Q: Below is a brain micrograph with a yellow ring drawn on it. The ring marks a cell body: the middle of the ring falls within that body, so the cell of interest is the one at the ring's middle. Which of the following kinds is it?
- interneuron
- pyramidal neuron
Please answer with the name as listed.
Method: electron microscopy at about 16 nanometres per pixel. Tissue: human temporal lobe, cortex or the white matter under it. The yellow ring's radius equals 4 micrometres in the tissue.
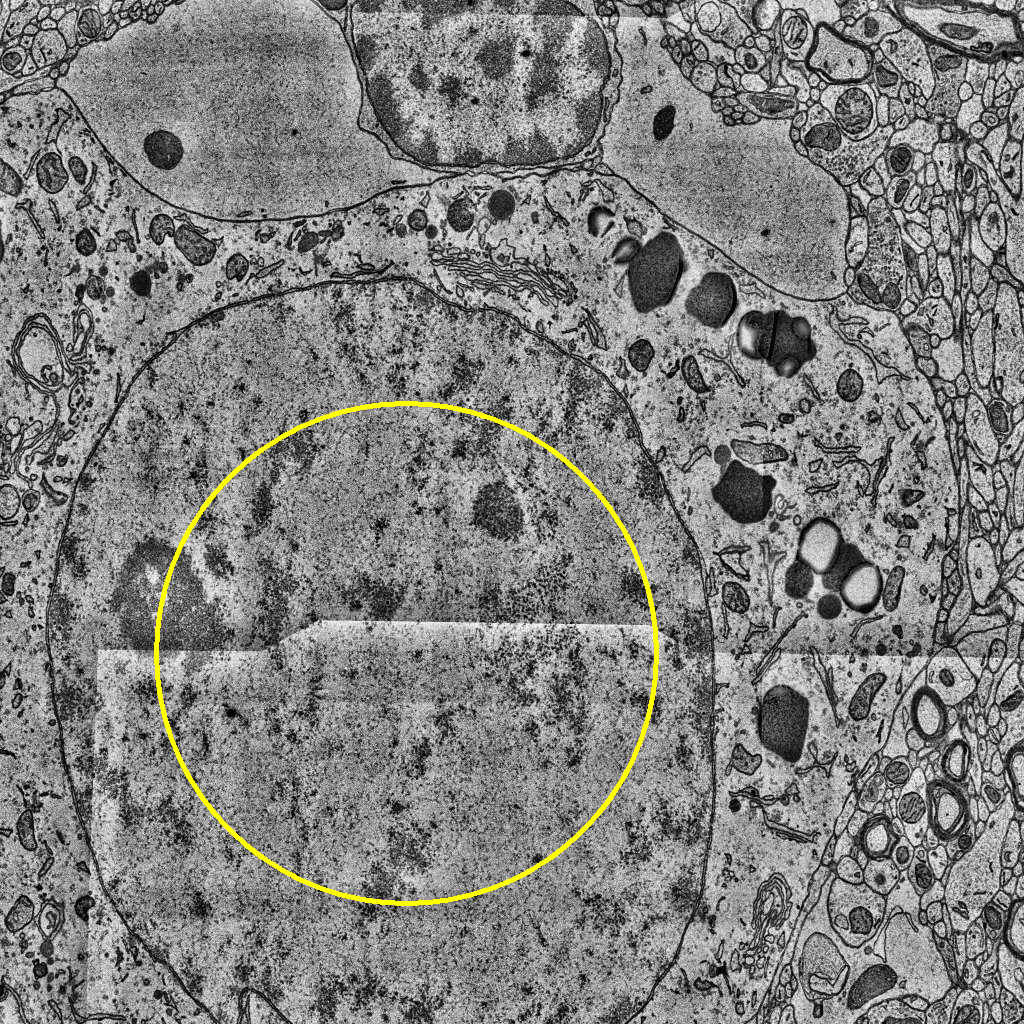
pyramidal neuron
